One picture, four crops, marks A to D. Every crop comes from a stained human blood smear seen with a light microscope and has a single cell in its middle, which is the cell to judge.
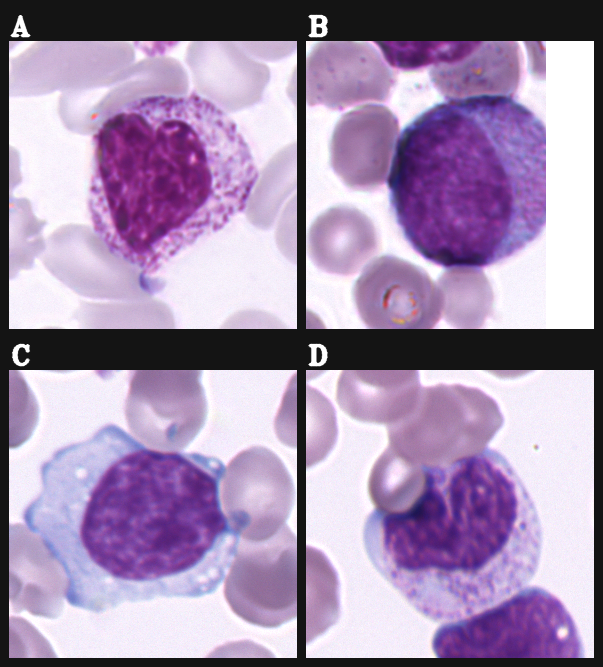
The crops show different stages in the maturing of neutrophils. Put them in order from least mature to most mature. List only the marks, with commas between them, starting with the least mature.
C, B, A, D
